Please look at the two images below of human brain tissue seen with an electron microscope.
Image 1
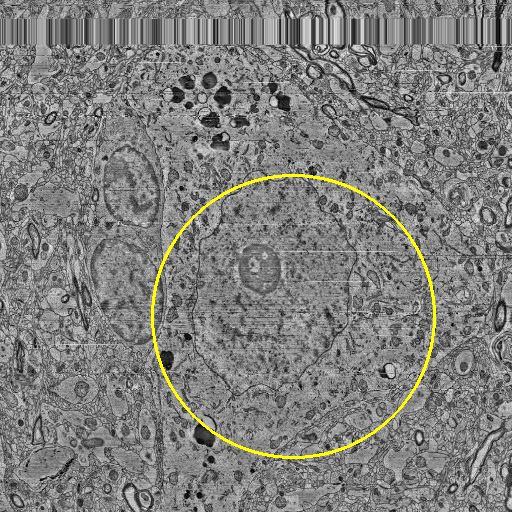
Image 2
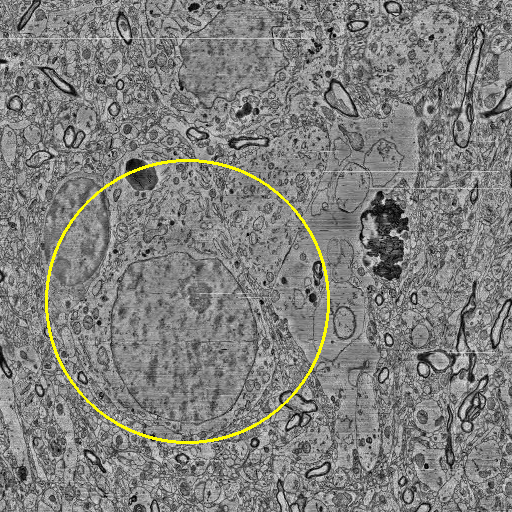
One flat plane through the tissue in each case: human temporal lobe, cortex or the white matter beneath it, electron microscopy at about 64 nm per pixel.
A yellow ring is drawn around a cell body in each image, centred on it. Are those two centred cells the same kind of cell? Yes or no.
no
